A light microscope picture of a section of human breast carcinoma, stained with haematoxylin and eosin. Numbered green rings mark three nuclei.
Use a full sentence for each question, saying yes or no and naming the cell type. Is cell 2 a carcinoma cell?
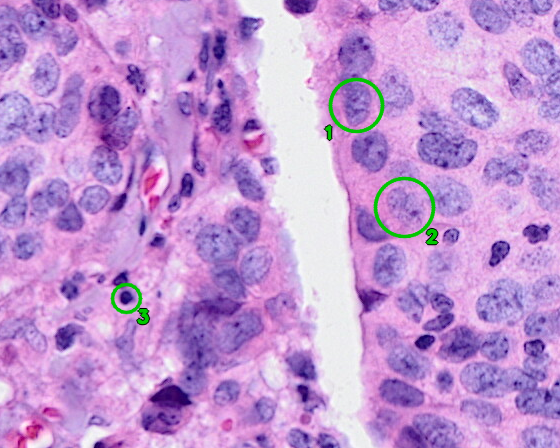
Yes, the cell carrying label 2 is a carcinoma cell.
